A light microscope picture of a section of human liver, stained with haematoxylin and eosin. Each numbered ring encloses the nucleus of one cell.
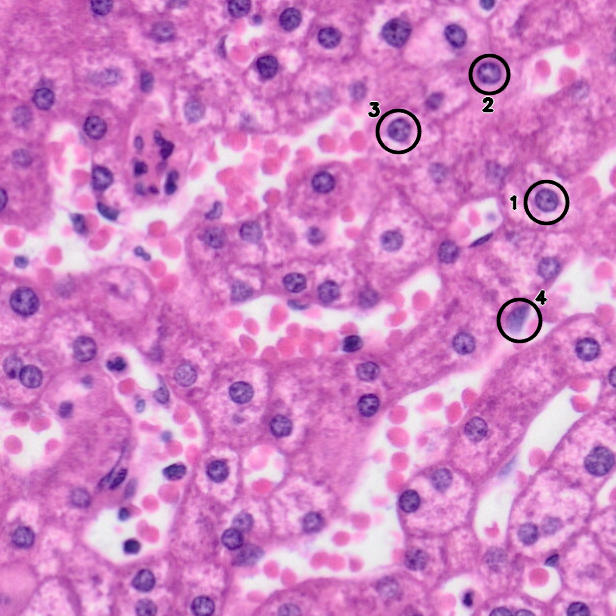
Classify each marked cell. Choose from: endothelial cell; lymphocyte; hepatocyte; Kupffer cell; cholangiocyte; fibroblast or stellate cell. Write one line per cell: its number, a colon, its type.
1: hepatocyte
2: hepatocyte
3: hepatocyte
4: endothelial cell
